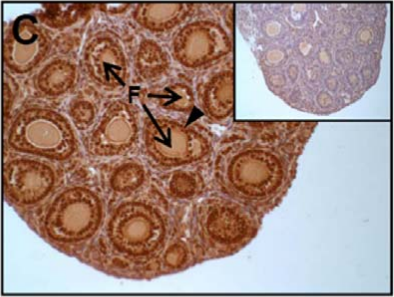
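This is an ovary packed with many round follicles of different sizes, each with a pale central oocyte ringed by one or more layers of cells with dark brown nuclei. The oocytes themselves have a pale brown cytoplasm, and some show a clear zone at their edge. Thin strands of stromal tissue separate the follicles from one another, and the ovary surface bulges smoothly at the lower right.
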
